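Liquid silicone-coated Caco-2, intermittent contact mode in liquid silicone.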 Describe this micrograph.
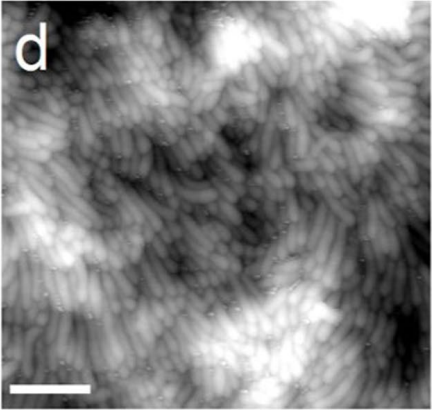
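The surface of an epithelial cell monolayer is covered by densely packed microvilli lying along the cell surface. Each microvillus appears as a short, smooth, rod-shaped projection of roughly uniform width. Neighbouring microvilli lie side by side in ordered groups sharing a common orientation, and the orientation changes from one group to the next. Brighter raised patches alternate with darker lower areas, showing an undulating surface beneath the packed rods.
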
